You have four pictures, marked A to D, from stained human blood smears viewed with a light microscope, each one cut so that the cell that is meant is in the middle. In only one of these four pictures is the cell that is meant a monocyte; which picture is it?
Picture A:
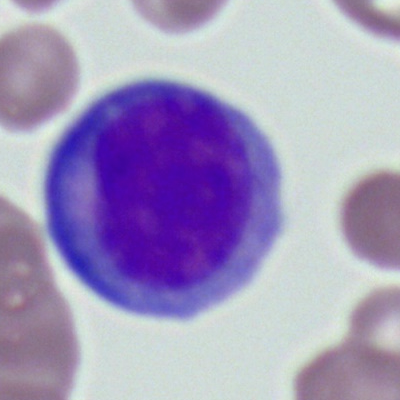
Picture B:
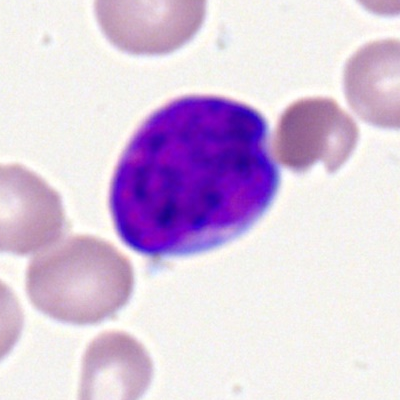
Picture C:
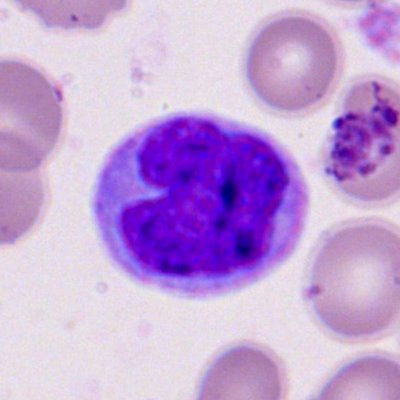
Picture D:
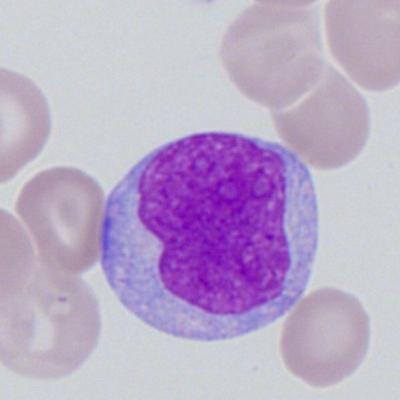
C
